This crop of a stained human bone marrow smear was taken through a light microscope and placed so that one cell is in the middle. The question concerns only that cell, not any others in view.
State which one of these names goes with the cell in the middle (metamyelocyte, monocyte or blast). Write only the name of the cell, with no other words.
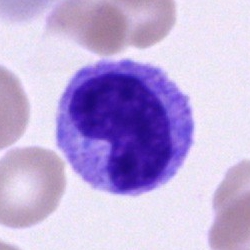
metamyelocyte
